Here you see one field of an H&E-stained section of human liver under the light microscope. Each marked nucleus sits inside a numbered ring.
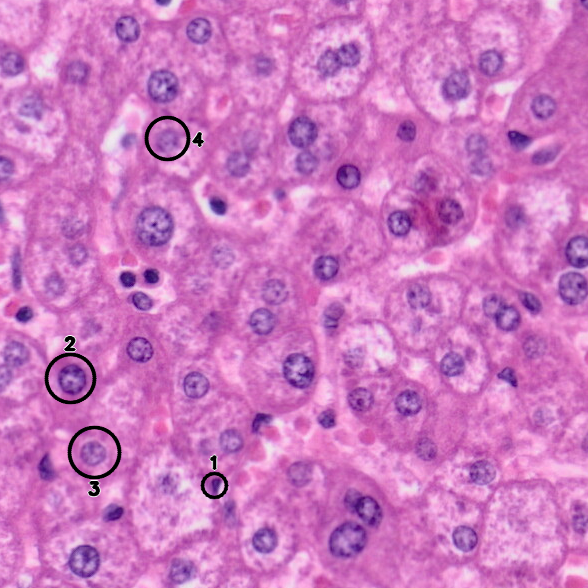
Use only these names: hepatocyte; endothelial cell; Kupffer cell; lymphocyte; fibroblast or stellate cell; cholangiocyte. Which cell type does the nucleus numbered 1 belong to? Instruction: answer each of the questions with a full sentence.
In this section, the cell numbered 1 is a fibroblast or stellate cell.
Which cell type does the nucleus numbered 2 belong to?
Cell 2, among those numbered, is a hepatocyte.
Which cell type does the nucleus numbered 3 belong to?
The cell assigned the number 3 is a hepatocyte.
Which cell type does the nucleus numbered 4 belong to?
The cell that bears the number 4 is a hepatocyte.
